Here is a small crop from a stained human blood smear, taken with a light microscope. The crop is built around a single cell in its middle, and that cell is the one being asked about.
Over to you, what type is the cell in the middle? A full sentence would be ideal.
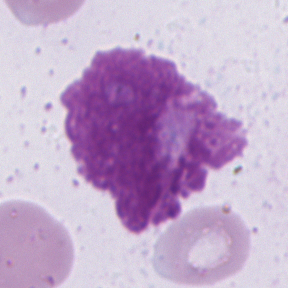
In the crop, the cell of interest at the centre is a smudge cell.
